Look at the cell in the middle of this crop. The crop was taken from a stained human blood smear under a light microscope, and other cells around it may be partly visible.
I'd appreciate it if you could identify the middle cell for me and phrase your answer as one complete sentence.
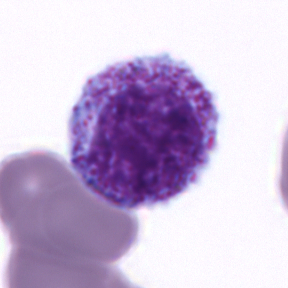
The centrally placed cell is classified as a myelocyte.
